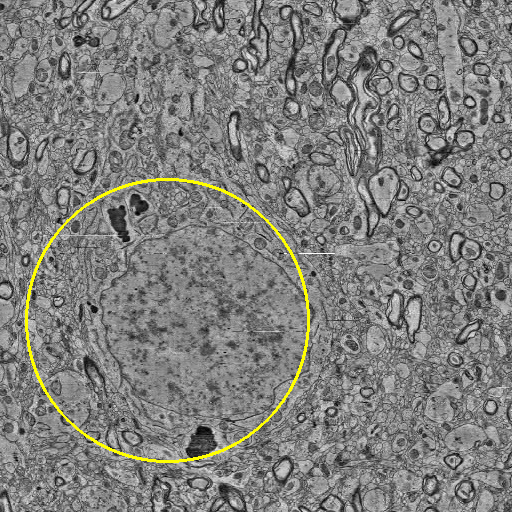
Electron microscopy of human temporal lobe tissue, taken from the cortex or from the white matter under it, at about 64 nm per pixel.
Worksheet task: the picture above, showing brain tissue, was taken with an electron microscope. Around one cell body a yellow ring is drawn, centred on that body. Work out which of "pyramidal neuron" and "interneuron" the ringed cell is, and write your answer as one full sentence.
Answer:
It is an interneuron whose cell body lies at the centre of the yellow ring.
